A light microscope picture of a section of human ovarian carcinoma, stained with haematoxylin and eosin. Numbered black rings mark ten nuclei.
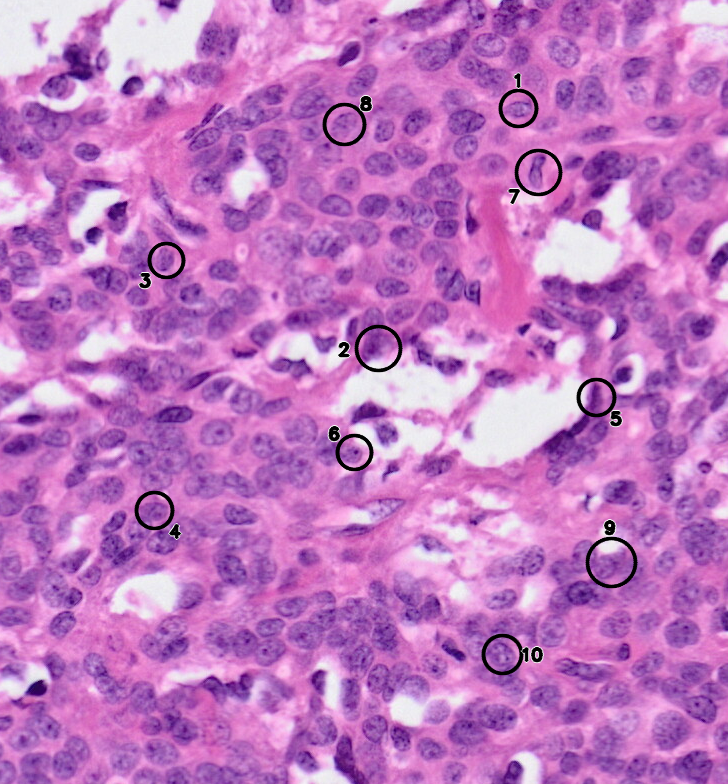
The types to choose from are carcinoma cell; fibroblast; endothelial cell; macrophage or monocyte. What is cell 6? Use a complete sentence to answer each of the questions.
The cell that goes by number 6 is a macrophage or monocyte.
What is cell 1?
In this section, the cell tagged 1 is an endothelial cell.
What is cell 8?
Of the numbered cells, the one labelled 8 is a carcinoma cell.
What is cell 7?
Within this field of view, the cell labelled 7 is a macrophage or monocyte.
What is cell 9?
Marked with the number 9, this cell is a carcinoma cell.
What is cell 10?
Cell number 10 in this section is a carcinoma cell.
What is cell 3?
What the number 3 marks in this field is a macrophage or monocyte.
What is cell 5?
The cell referenced by the number 5 is a carcinoma cell in this field.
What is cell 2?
The cell pointed out as number 2 is a carcinoma cell.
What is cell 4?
The cell numbered 4 has been identified as a carcinoma cell.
